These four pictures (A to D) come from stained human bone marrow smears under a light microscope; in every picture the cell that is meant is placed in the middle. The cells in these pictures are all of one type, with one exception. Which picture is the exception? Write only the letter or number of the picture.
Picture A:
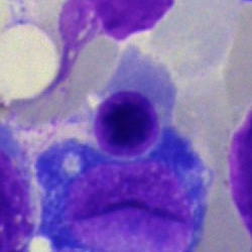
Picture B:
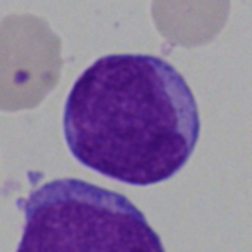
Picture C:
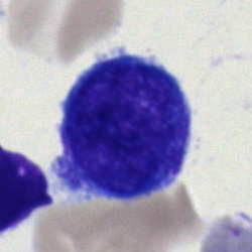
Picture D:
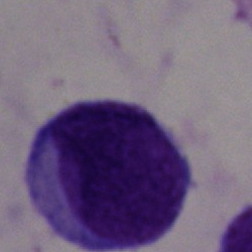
A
